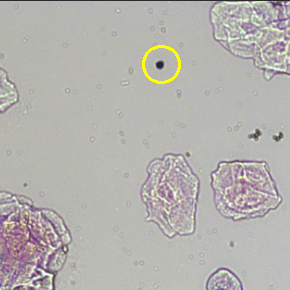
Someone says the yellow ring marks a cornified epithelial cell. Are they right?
They are not: the ring marks a leukocyte.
